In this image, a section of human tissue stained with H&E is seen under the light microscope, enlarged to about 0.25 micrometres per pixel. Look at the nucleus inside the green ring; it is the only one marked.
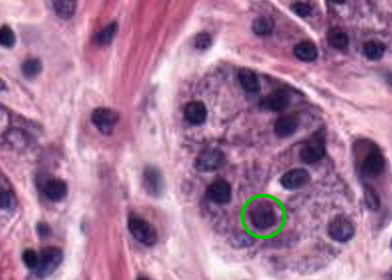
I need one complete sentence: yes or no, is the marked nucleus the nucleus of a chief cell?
Yes, the marked nucleus belongs to a chief cell.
